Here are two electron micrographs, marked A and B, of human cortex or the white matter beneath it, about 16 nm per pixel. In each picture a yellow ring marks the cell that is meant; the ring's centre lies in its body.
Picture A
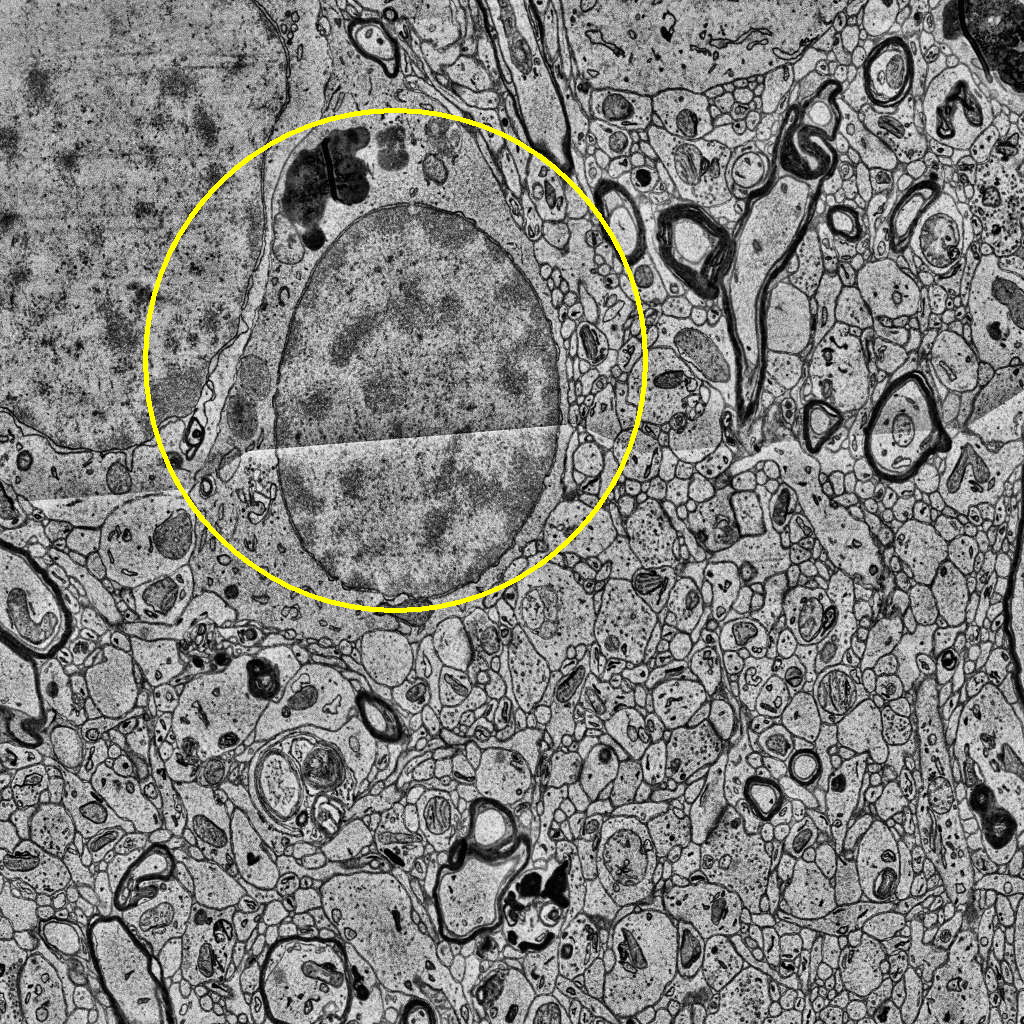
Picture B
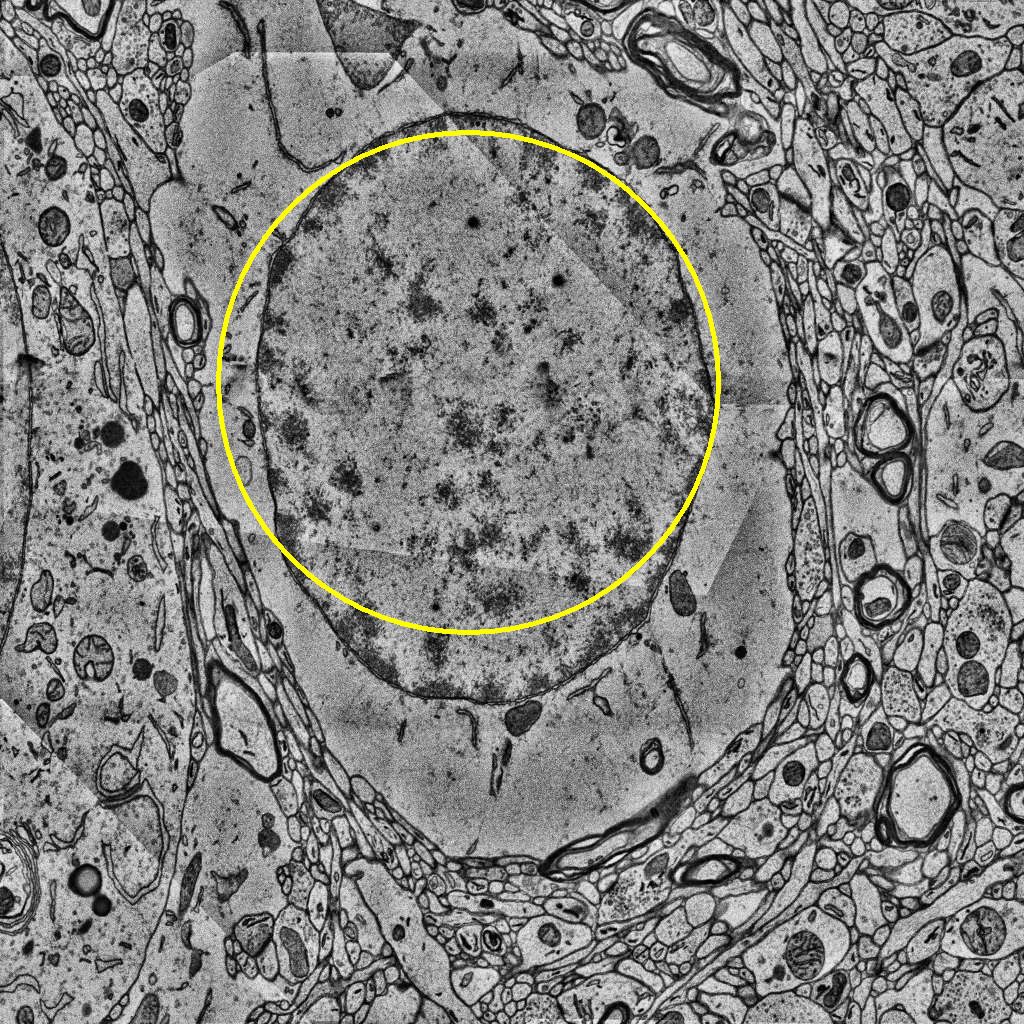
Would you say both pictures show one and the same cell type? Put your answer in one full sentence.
No, the types are not the same, since picture A shows an oligodendrocyte and picture B an astrocyte.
